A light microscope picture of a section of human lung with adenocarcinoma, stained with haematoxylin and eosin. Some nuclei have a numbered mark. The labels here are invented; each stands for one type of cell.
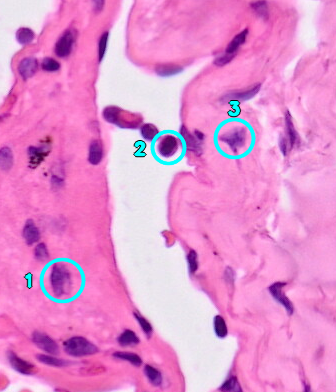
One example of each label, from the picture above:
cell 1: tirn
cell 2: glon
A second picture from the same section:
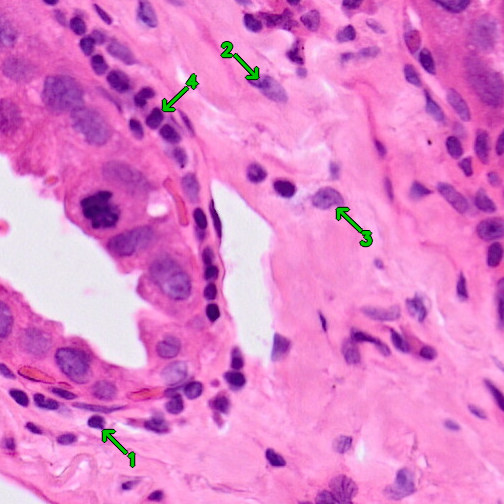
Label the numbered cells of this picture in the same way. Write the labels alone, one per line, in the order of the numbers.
glon
tirn
tirn
glon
